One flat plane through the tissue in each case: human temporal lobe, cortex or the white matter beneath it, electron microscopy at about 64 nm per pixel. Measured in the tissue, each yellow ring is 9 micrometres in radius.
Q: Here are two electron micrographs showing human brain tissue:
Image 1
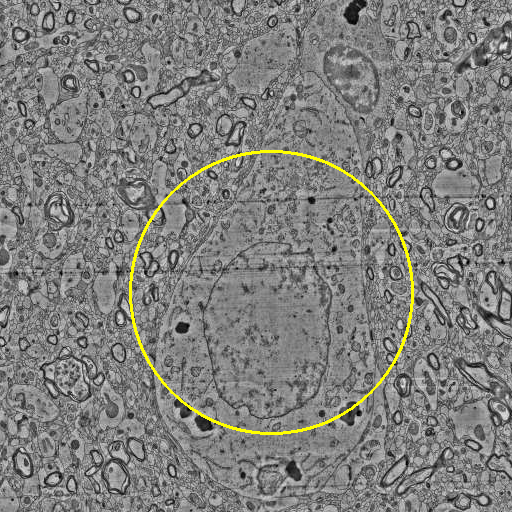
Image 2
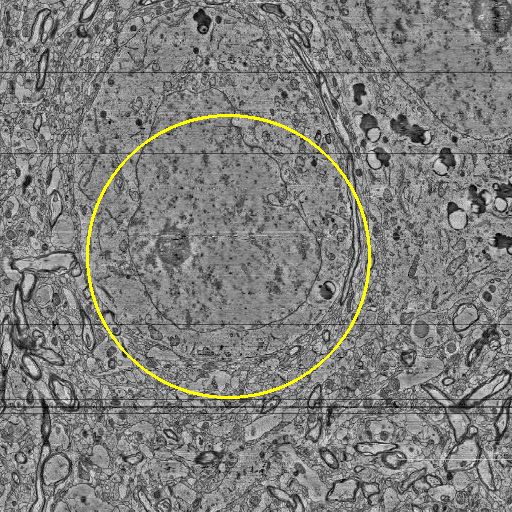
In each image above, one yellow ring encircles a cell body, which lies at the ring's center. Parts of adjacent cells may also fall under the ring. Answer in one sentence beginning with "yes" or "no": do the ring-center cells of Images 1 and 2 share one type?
Yes, in Images 1 and 2, the ring-center cells are both of one type.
